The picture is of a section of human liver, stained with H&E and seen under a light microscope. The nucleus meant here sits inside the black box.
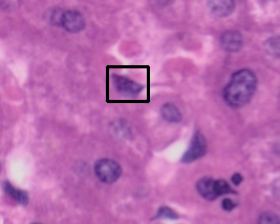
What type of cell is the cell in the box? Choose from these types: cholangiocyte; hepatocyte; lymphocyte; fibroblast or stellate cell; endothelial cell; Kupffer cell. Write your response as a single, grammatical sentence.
In the tissue under study, the cell in the box is an endothelial cell.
